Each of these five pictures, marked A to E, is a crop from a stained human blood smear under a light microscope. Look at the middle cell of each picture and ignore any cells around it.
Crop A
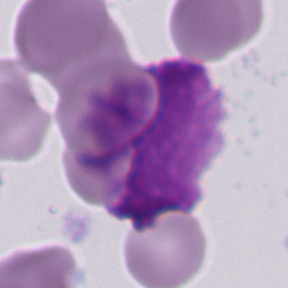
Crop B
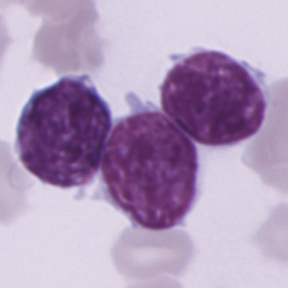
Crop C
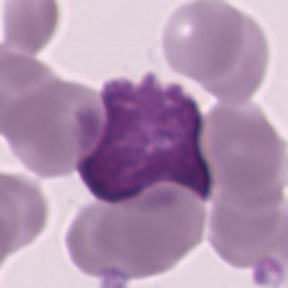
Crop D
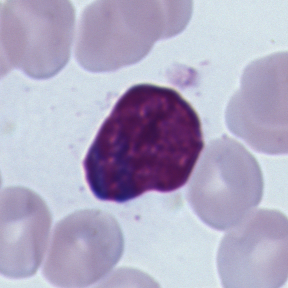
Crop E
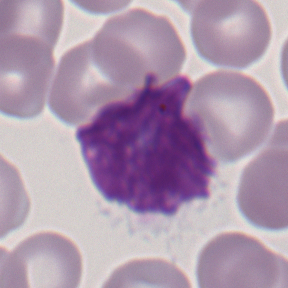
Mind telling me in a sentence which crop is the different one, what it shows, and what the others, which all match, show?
Crop B is singled out as a myeloblast, and all of the other crops show smudge cells.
